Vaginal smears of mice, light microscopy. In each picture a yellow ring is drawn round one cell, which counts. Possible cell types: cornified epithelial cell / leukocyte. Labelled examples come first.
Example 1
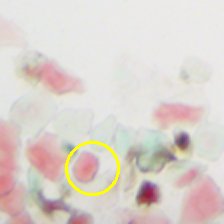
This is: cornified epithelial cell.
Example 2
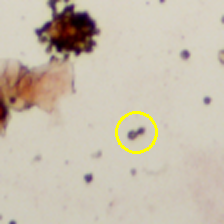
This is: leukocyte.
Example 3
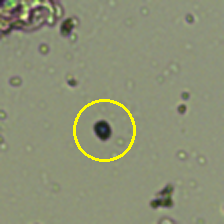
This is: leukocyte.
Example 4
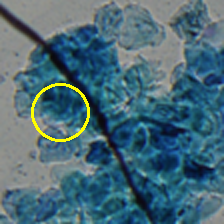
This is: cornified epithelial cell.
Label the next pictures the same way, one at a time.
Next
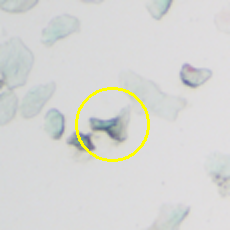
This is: cornified epithelial cell.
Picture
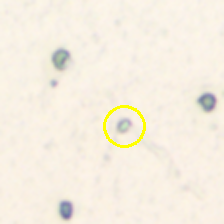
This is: leukocyte.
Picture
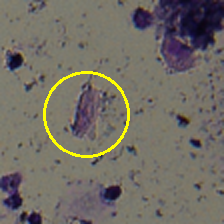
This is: cornified epithelial cell.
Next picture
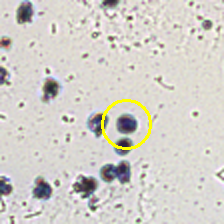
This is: leukocyte.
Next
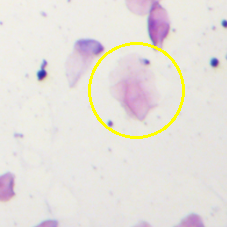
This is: cornified epithelial cell.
